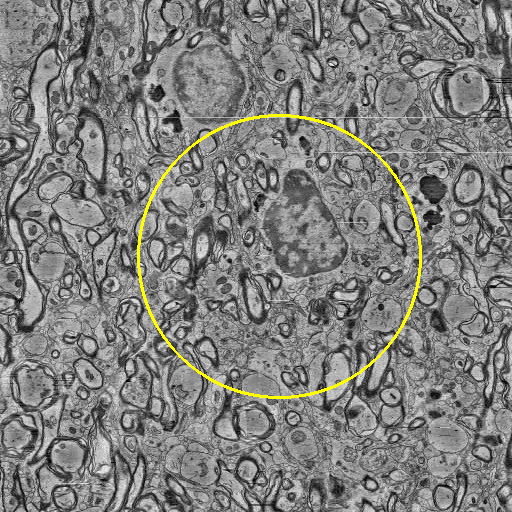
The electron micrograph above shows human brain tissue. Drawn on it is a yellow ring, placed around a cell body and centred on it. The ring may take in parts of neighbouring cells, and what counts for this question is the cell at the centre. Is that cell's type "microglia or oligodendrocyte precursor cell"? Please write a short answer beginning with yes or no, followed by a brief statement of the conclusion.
Yes, its type is the one named.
